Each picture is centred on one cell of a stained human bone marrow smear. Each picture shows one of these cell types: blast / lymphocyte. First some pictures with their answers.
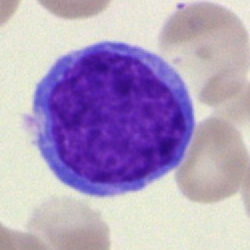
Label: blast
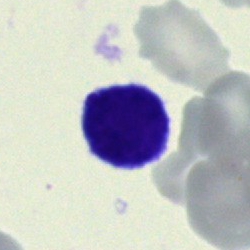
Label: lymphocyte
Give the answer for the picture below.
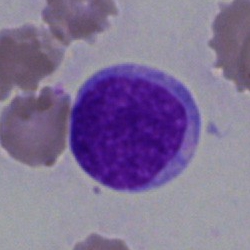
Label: blast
